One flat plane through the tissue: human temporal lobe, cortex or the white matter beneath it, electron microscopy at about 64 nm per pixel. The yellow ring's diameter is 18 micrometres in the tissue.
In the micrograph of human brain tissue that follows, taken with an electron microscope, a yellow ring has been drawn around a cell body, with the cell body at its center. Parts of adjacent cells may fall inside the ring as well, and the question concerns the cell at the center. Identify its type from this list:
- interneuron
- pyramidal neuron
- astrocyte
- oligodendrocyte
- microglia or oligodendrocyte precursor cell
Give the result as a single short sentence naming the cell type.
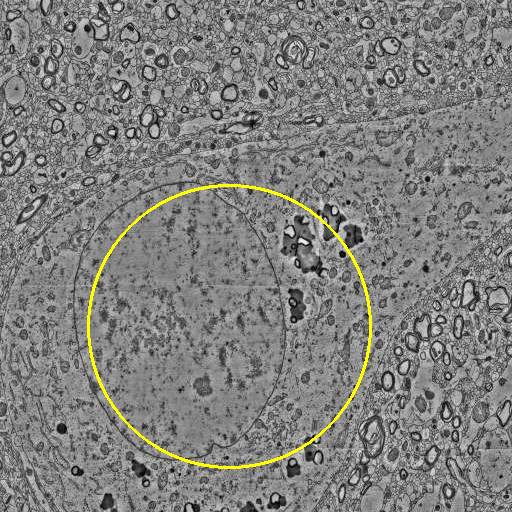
The ring is centered on a pyramidal neuron.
